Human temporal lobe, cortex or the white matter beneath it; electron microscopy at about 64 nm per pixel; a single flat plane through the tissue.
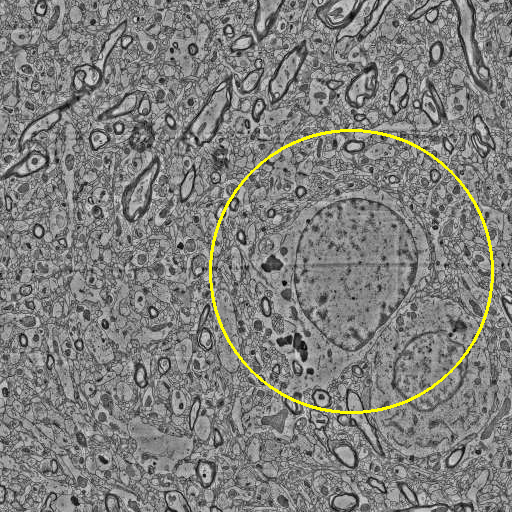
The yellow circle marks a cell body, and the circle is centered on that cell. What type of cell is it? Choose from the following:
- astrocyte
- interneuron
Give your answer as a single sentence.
This cell body belongs to an astrocyte.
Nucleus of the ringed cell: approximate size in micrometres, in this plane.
The nucleus works out at approximately 10 by 8 micrometres in this plane.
